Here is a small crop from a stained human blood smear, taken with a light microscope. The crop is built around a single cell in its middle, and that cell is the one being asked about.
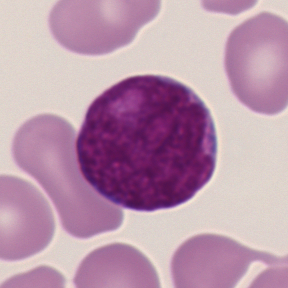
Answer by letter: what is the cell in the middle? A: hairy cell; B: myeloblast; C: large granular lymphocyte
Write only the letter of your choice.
B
